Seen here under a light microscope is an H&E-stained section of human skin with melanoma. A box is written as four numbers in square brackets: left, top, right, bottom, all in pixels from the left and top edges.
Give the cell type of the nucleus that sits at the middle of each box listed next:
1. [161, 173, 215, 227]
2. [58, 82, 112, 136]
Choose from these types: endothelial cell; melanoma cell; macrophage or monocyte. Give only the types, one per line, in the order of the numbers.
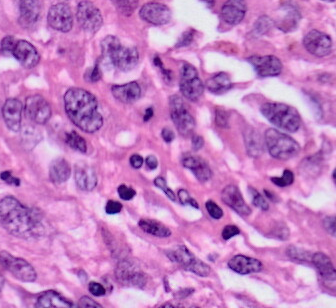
endothelial cell
melanoma cell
